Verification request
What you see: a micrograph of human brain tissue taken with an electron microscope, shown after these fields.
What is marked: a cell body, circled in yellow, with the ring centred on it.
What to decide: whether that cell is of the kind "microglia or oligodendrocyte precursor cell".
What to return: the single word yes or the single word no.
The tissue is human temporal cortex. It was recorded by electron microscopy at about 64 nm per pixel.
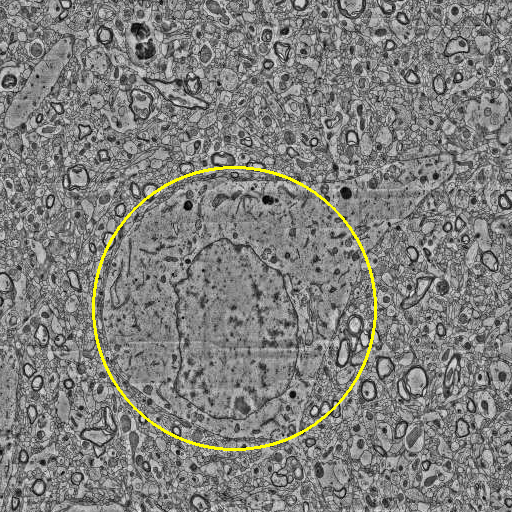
no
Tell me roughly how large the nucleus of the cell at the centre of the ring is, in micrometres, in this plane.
In this plane the nucleus is about 12 micrometres by 8.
